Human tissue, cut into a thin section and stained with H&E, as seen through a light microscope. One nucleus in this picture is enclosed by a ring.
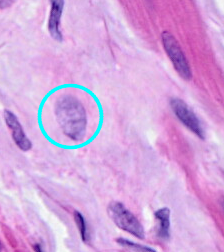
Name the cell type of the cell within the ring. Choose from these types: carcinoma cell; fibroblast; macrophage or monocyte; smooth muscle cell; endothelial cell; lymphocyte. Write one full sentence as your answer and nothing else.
For cell typing purposes, the cell within the ring is a fibroblast.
